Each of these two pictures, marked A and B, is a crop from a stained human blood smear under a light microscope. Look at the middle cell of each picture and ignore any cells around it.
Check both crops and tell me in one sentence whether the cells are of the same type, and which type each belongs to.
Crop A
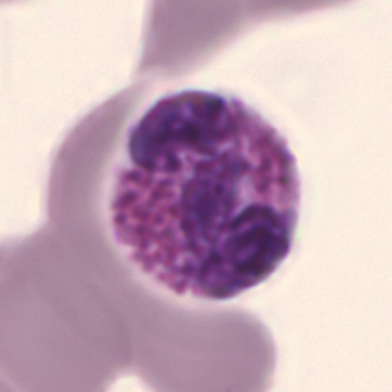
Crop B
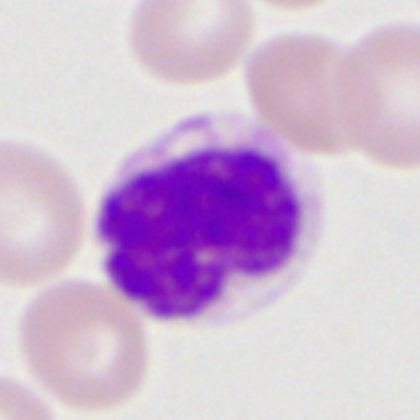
No, at the centre of crop A is an eosinophil, and at the centre of crop B is a basophil.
